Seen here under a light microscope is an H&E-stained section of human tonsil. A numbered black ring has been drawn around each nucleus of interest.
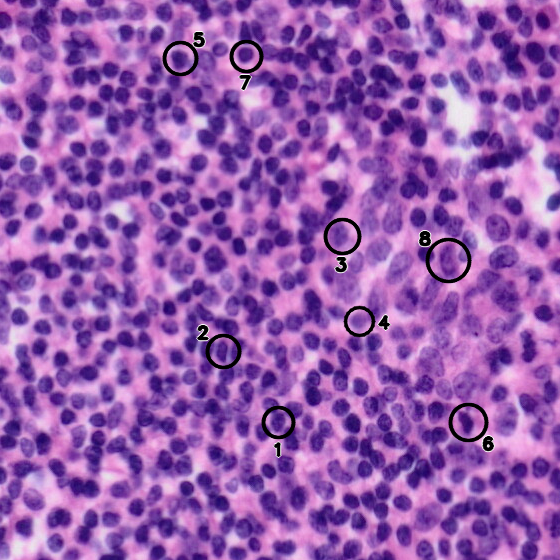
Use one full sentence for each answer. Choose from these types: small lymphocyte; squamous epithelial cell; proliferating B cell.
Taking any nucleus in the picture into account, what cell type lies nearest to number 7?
The nearest nucleus to number 7 belongs to a small lymphocyte.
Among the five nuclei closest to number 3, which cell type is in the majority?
Of the five nuclei nearest to number 3, most belong to proliferating B cells.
